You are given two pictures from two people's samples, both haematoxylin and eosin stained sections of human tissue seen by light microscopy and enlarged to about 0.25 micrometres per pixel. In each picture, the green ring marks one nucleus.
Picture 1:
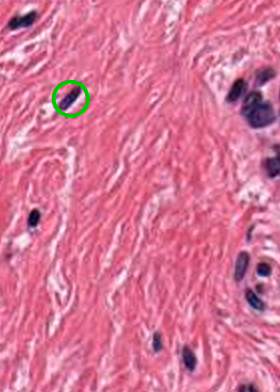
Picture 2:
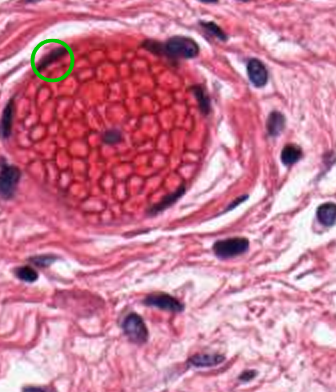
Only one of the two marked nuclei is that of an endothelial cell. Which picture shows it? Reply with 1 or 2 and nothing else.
2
